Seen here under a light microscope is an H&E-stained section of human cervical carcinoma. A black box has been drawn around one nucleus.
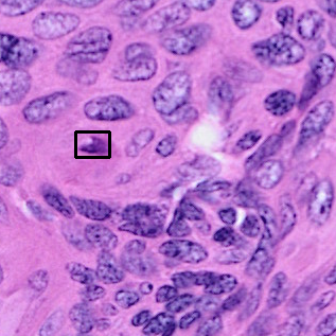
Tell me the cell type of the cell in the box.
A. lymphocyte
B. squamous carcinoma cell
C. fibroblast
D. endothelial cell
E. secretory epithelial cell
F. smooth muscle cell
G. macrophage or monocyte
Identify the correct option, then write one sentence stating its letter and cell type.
The correct response is option B: the cell in the box is a squamous carcinoma cell.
